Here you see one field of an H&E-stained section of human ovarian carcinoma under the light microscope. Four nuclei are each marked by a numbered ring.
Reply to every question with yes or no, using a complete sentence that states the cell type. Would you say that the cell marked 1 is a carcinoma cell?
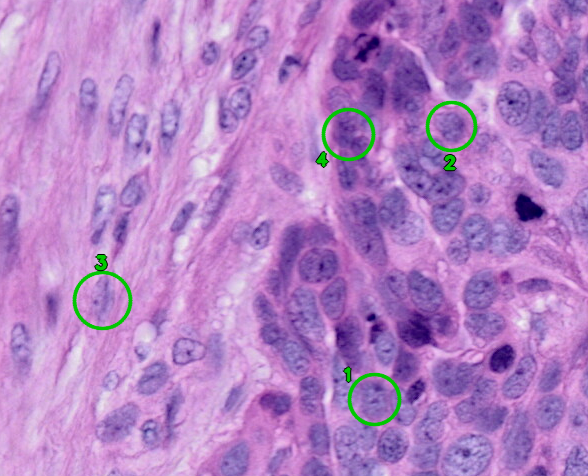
Yes, in this tissue section, number 1 is a carcinoma cell.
